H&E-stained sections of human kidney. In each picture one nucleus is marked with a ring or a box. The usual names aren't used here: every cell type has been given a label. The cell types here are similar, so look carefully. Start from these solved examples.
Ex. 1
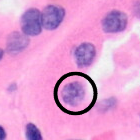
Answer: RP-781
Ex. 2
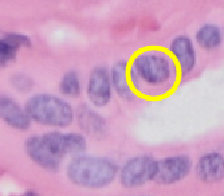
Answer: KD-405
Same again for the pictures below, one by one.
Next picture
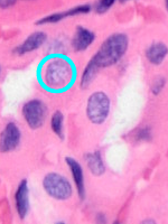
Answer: KD-405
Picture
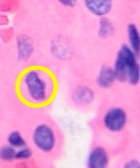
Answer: RP-781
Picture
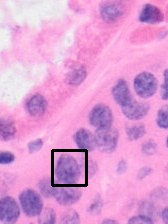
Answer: KD-405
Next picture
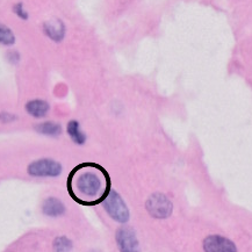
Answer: KD-405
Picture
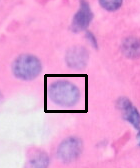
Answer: RP-781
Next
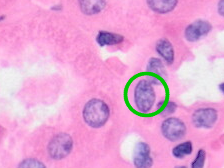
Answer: KD-405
